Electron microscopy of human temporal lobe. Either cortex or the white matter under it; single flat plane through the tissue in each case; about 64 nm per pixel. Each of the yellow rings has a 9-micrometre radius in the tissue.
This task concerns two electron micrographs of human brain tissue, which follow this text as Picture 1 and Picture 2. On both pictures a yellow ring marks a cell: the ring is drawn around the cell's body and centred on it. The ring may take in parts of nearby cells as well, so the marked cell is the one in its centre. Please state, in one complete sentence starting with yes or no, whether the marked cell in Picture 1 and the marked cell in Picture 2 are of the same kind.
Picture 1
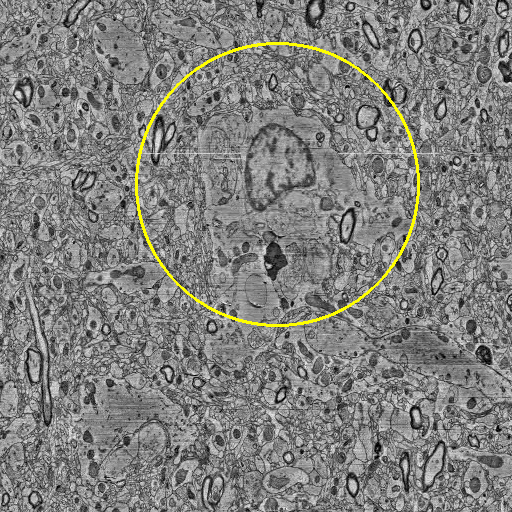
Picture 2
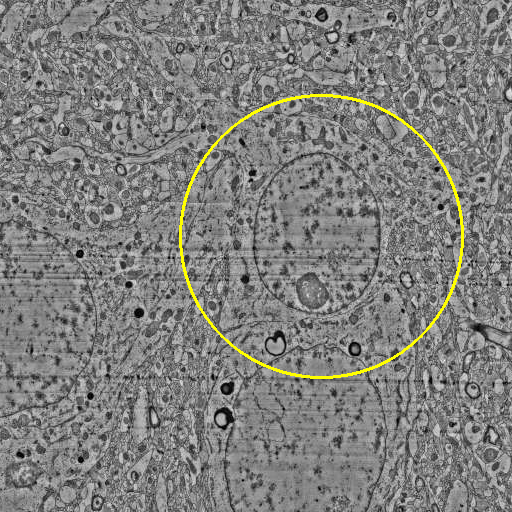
No, the marked cells in the two pictures are of two kinds.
